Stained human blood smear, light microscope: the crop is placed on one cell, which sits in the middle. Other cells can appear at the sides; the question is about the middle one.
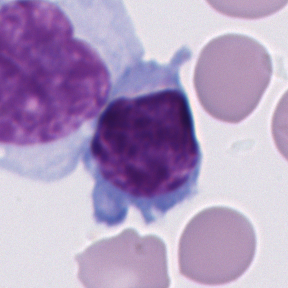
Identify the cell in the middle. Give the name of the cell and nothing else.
blast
